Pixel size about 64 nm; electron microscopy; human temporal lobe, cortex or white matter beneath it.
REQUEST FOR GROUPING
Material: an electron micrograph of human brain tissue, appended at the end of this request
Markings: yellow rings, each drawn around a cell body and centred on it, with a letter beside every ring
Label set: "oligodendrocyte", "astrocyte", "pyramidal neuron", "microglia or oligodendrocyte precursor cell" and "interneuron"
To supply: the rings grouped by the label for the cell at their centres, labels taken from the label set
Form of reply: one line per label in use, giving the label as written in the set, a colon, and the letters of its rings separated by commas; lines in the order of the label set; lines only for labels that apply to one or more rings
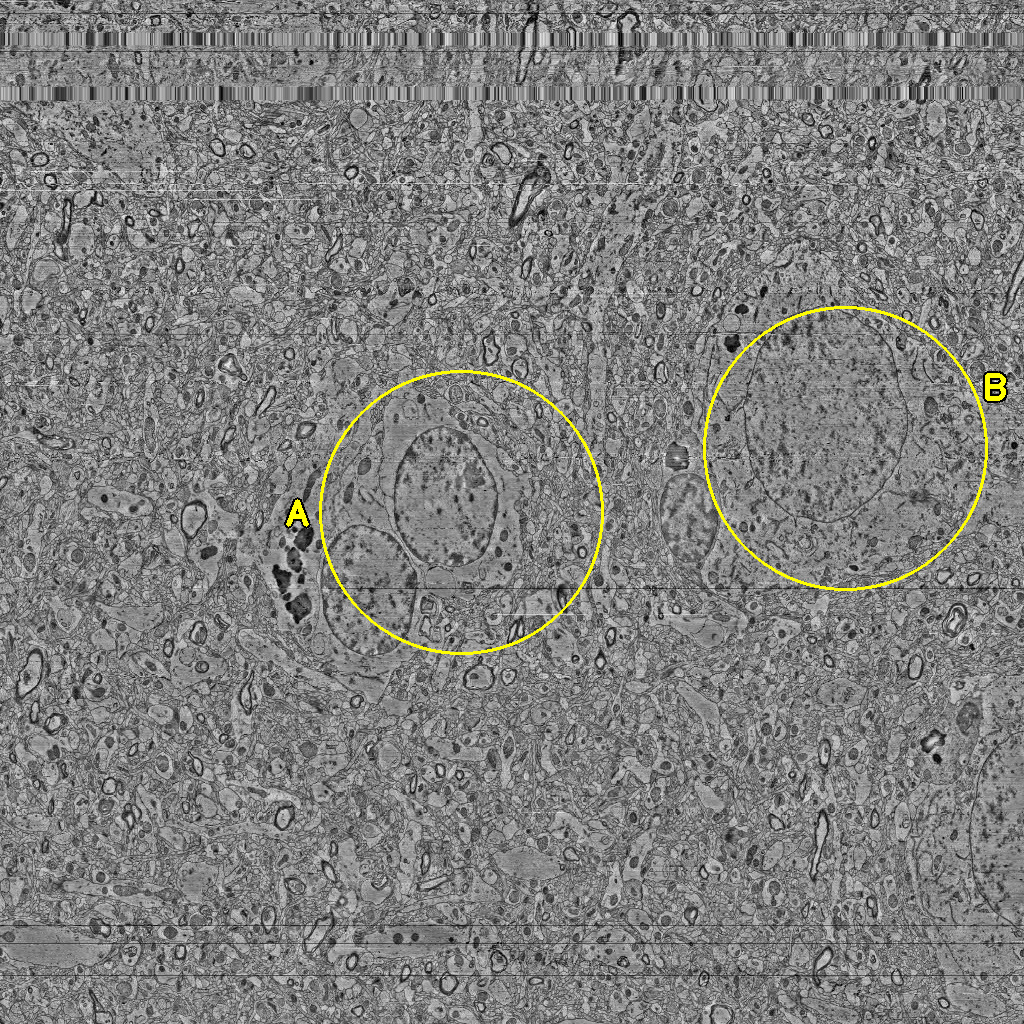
astrocyte: A
pyramidal neuron: B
